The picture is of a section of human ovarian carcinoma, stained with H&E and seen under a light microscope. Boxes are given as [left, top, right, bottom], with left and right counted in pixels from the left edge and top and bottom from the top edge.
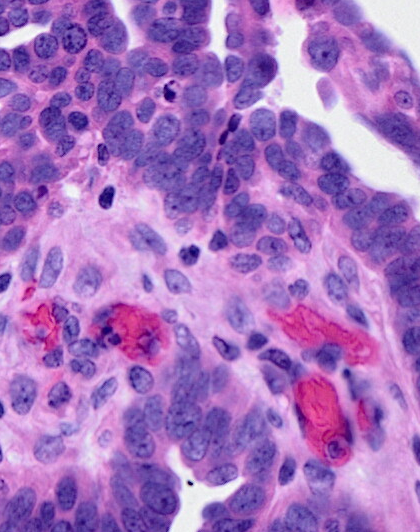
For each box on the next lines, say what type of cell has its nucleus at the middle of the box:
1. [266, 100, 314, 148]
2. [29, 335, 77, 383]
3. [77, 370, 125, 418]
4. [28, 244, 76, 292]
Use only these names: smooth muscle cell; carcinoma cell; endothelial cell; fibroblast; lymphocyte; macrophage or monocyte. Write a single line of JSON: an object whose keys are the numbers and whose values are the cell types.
{"1": "carcinoma cell", "2": "endothelial cell", "3": "fibroblast", "4": "fibroblast"}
